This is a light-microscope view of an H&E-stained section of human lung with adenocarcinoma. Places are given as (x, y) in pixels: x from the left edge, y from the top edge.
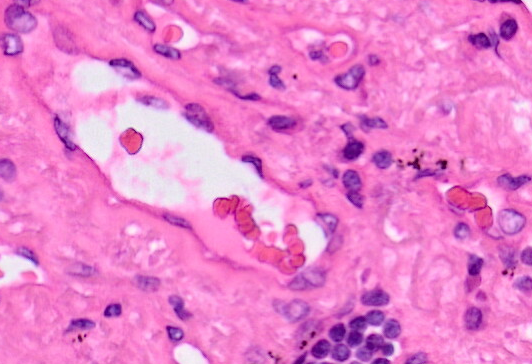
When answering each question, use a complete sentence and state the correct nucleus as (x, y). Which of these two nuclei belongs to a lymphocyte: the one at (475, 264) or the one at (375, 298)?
Of the pair, the nucleus positioned at (375, 298) is that of a lymphocyte.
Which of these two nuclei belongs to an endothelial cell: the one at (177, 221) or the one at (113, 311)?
Among the two nuclei, the one lying at (177, 221) is part of an endothelial cell.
